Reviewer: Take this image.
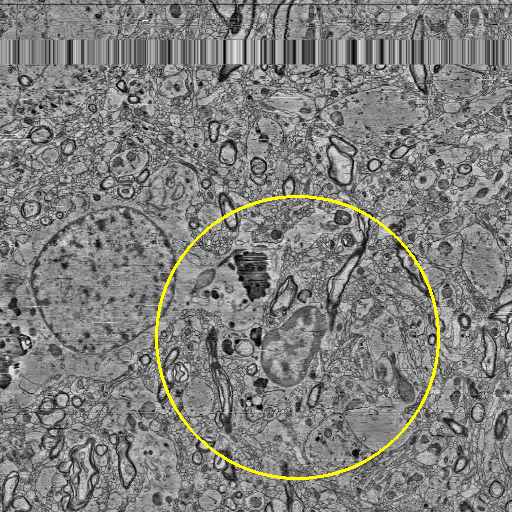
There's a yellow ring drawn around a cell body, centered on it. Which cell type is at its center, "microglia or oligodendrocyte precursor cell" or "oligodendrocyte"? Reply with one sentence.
At the center of the yellow ring is a microglial cell or oligodendrocyte precursor cell.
